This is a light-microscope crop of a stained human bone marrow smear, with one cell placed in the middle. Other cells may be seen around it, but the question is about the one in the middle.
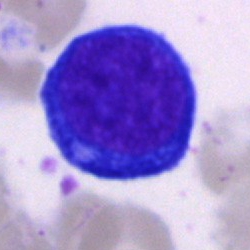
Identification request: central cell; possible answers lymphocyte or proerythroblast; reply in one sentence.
The cell shown in the center of this light-microscope crop is a proerythroblast.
